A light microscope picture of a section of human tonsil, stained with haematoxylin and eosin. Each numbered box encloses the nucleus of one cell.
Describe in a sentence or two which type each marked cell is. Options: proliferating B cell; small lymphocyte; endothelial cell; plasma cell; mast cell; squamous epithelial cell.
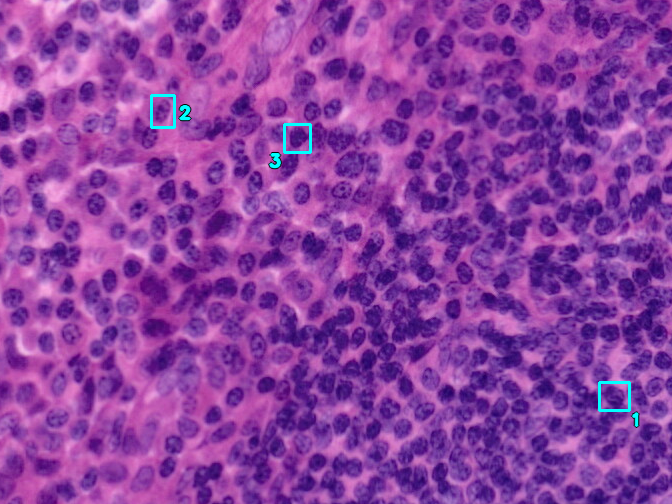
Cell 1 is a small lymphocyte. Cells 2 and 3 are plasma cells.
